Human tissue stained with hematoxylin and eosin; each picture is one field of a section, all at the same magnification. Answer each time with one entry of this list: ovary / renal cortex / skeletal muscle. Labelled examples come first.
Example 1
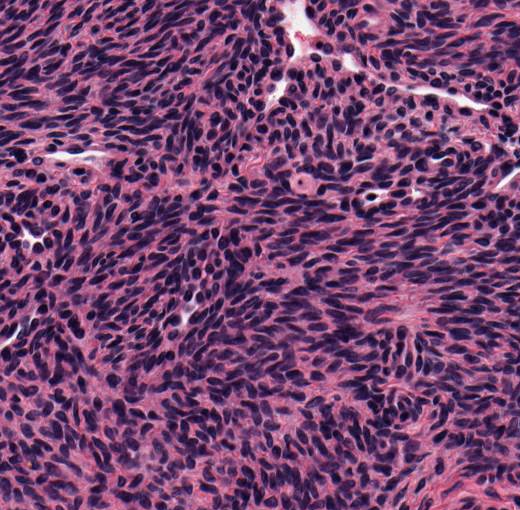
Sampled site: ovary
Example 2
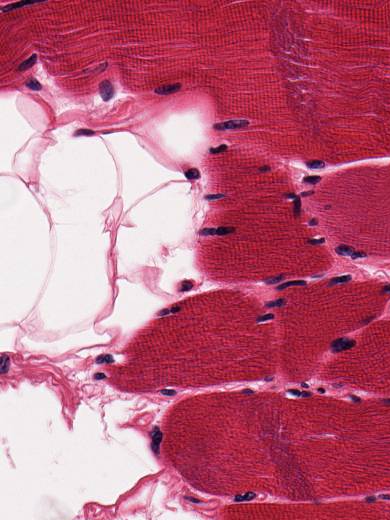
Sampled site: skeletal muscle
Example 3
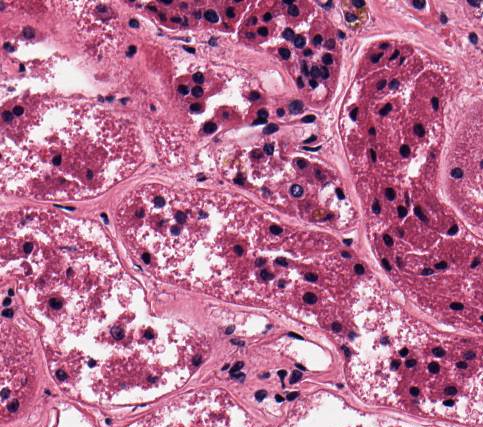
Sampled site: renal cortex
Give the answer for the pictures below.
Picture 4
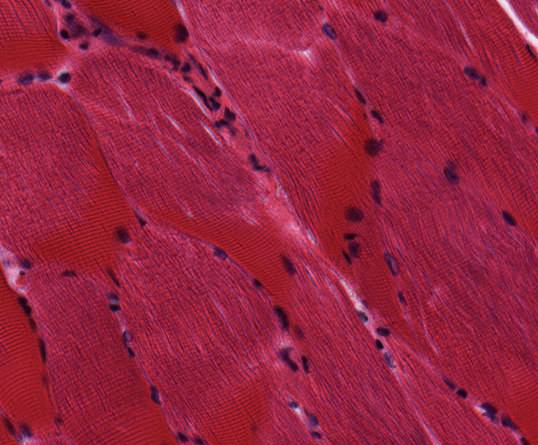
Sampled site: skeletal muscle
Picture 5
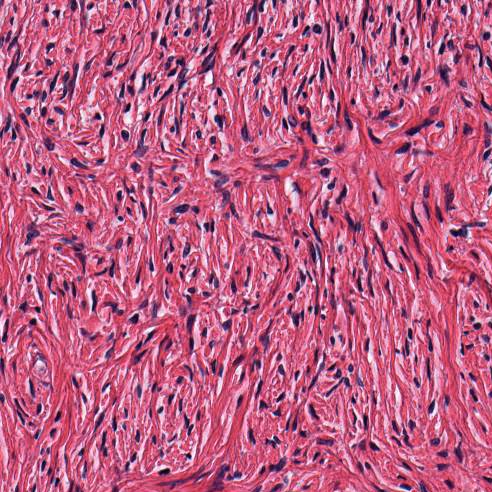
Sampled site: ovary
